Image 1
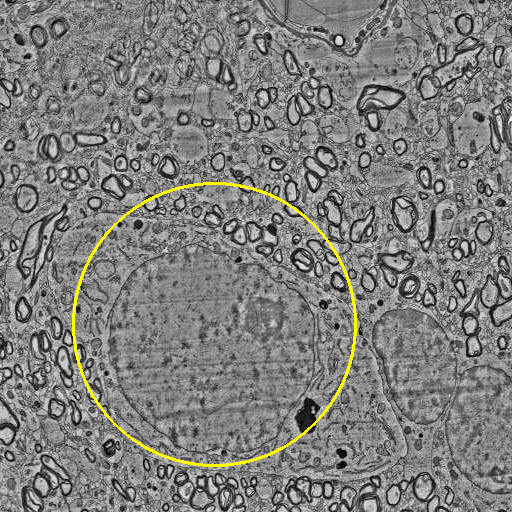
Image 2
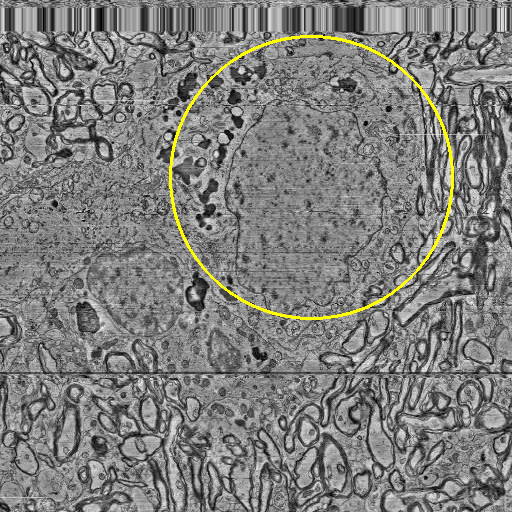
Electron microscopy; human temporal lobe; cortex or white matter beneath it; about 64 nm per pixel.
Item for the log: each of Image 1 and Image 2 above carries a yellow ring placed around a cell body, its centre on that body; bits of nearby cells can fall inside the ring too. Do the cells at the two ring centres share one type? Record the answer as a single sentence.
Yes, the two cells at the ring centres in Image 1 and Image 2 share one type.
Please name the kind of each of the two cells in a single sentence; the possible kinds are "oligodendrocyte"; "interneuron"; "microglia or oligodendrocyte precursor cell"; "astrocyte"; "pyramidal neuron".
The first and the second cell are each a pyramidal neuron.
